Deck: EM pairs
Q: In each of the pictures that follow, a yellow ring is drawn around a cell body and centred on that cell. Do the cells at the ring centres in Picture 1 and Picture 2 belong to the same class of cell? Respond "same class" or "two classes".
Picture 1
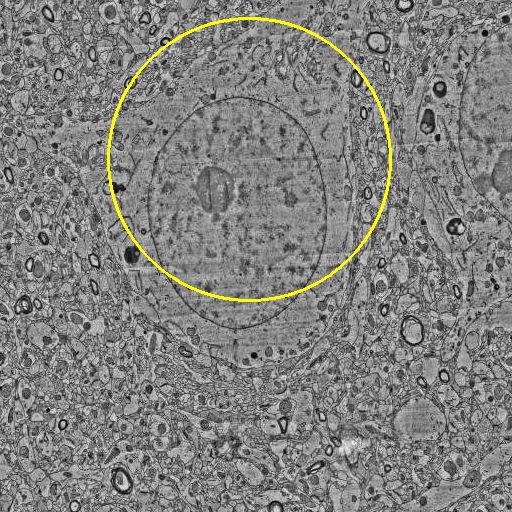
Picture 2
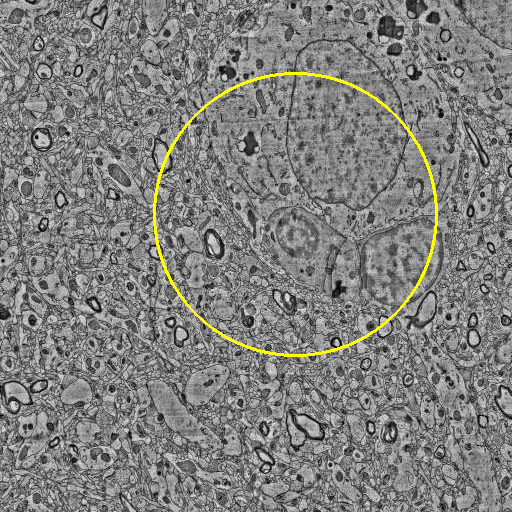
two classes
